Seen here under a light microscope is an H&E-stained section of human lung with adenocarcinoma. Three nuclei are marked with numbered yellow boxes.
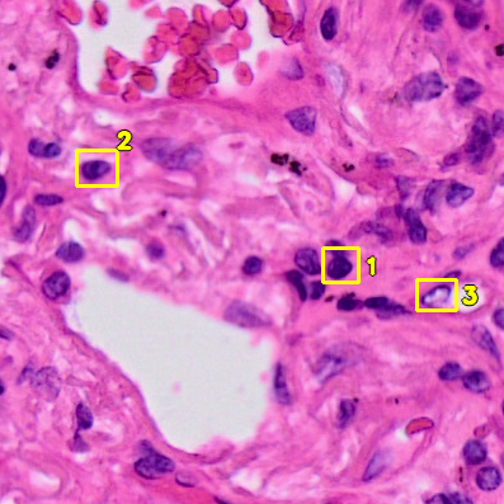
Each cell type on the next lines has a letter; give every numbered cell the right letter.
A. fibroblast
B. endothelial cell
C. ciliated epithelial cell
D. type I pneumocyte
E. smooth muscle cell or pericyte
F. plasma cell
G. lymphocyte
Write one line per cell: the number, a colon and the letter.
1: G
2: G
3: B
